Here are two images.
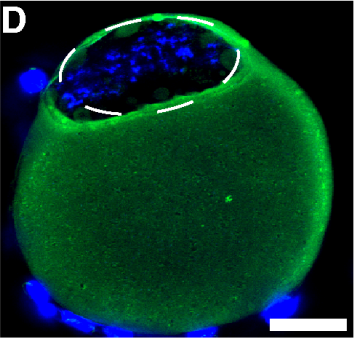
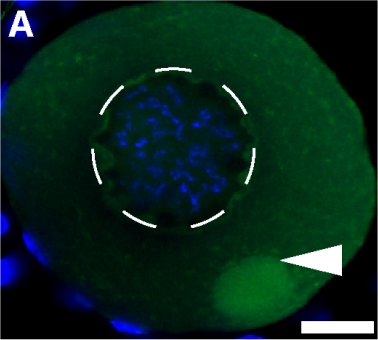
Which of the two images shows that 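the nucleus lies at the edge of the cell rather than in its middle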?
the first image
